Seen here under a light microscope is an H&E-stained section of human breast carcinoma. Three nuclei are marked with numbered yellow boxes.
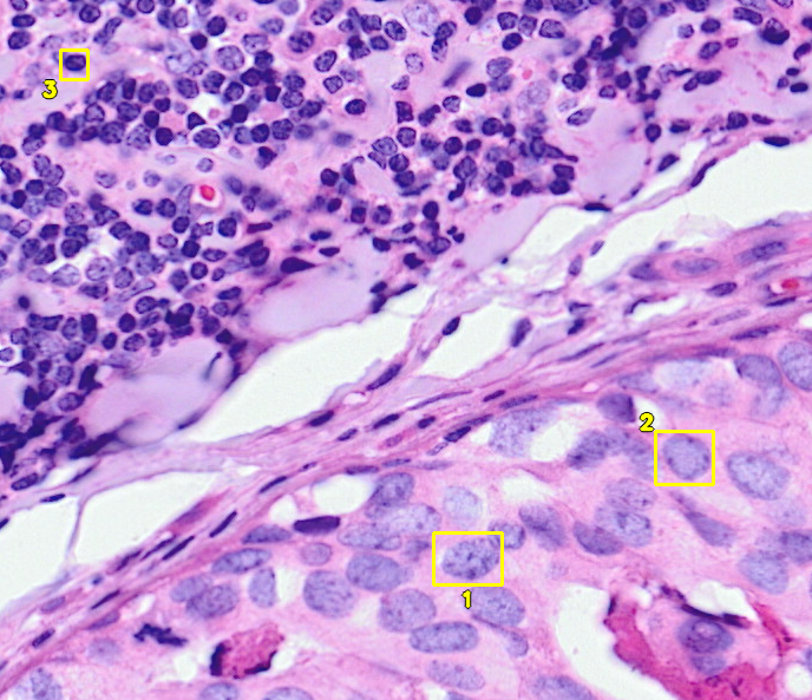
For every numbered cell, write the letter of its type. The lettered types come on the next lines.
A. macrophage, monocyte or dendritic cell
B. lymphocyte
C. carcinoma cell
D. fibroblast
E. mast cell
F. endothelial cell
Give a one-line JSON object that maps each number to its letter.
{"1": "C", "2": "C", "3": "B"}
